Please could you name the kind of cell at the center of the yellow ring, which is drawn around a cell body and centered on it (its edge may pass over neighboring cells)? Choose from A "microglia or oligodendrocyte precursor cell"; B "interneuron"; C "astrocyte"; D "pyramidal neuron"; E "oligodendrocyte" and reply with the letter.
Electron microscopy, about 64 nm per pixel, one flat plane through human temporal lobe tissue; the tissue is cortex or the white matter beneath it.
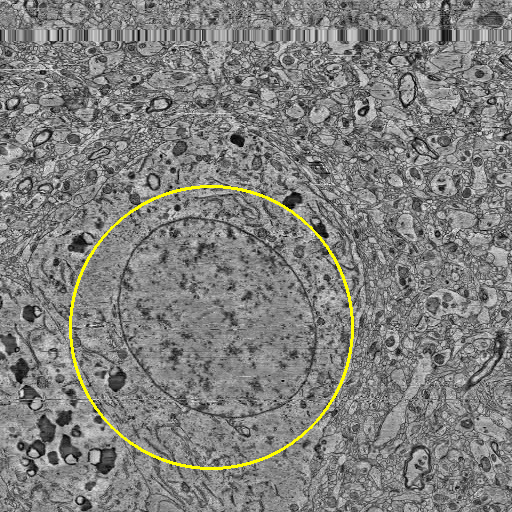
D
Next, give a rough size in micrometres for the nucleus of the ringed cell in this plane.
Approximately 16 x 12 micrometres in this plane.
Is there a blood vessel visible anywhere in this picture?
No, the image shows no blood vessel.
